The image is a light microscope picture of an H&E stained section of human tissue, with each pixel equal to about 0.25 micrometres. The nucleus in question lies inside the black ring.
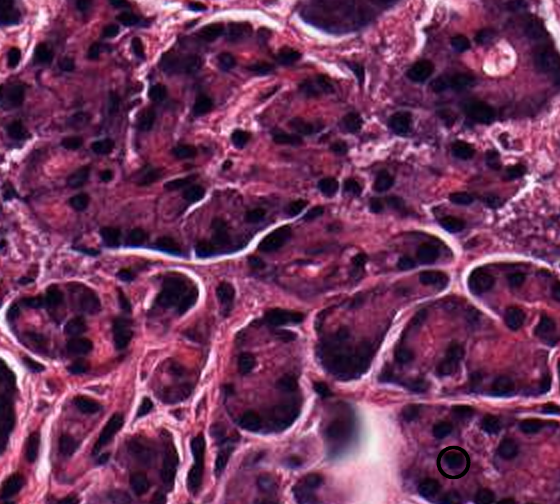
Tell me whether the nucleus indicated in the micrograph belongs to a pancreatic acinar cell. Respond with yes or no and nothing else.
yes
